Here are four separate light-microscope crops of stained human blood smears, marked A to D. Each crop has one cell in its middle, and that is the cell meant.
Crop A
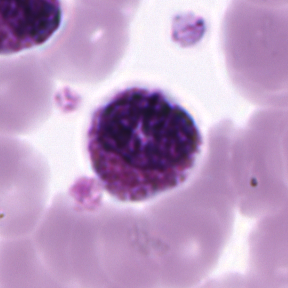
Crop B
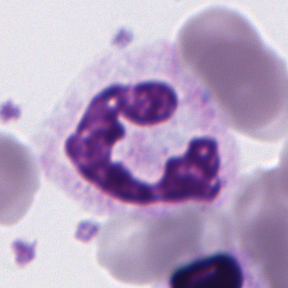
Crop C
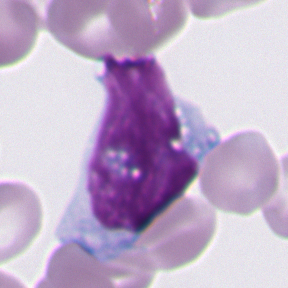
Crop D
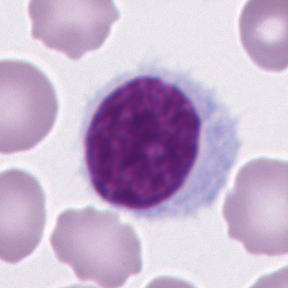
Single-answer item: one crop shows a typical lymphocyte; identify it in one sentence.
Crop C is the crop that shows a typical lymphocyte in its middle.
